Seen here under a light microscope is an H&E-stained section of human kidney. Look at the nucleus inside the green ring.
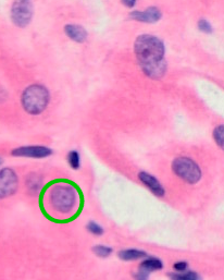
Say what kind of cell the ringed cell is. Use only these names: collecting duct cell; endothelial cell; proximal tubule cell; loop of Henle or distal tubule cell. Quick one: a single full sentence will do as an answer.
In this section of tissue, the ringed cell is a proximal tubule cell.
